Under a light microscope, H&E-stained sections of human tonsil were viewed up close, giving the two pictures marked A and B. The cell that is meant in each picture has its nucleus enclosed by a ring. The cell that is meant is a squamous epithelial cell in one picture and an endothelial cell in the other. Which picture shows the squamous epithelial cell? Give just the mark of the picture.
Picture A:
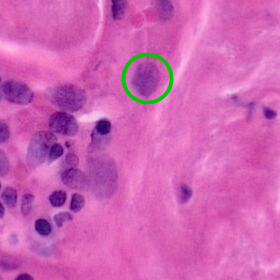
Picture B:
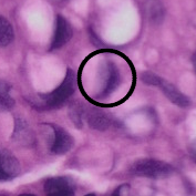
B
